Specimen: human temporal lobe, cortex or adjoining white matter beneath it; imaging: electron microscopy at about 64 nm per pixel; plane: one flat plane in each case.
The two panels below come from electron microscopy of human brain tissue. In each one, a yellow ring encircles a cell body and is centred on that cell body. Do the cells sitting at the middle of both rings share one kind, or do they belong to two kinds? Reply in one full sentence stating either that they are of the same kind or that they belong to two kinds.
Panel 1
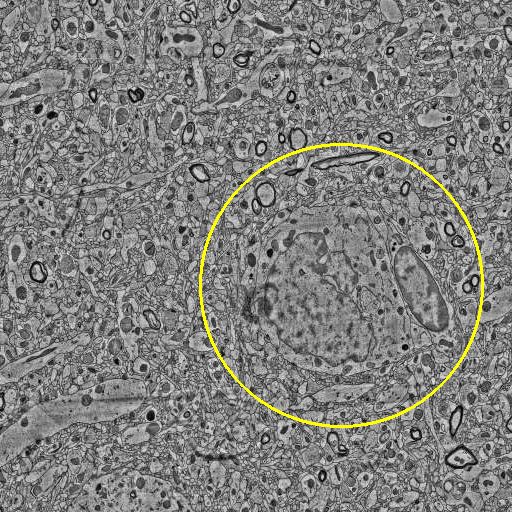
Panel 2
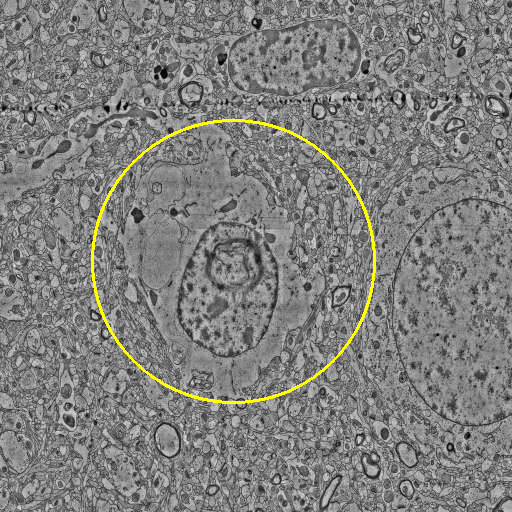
The cells at the centres of the two rings belong to two kinds.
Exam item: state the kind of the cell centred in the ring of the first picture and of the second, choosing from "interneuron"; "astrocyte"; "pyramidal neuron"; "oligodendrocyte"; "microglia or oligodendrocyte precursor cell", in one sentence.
The first picture shows an interneuron at the ring centre and the second shows an astrocyte.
